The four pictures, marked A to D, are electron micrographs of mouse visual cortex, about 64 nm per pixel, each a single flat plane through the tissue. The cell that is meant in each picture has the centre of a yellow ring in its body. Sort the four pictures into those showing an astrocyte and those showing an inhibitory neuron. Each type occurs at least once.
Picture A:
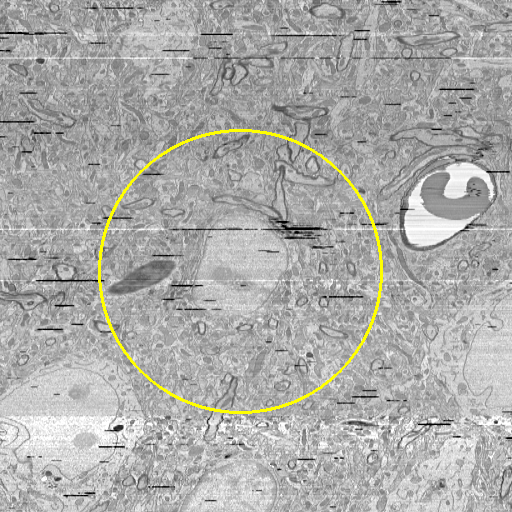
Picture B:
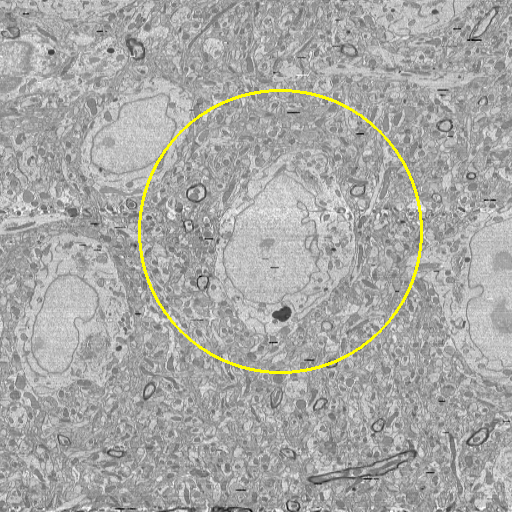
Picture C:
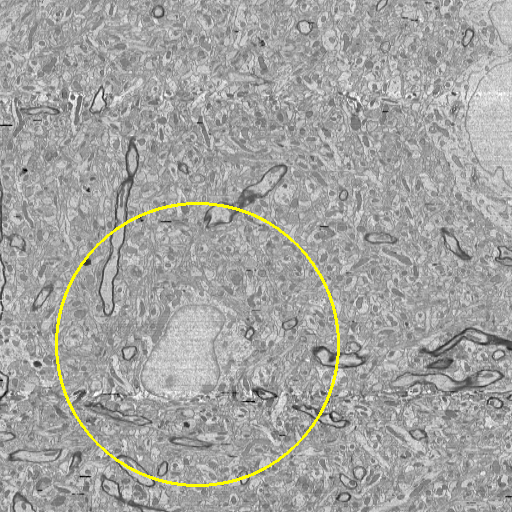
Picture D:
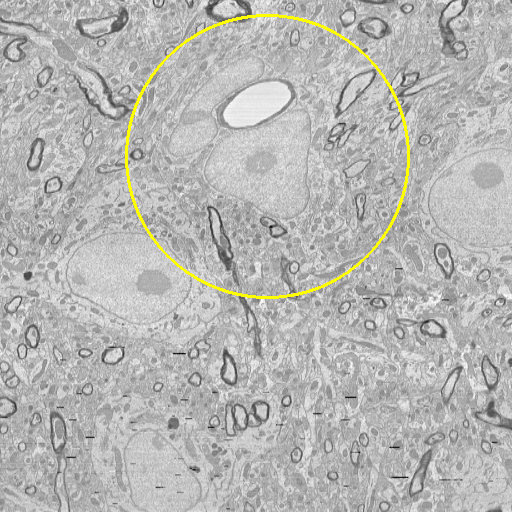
Pictures A, C and D show astrocytes; picture B shows an inhibitory neuron.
